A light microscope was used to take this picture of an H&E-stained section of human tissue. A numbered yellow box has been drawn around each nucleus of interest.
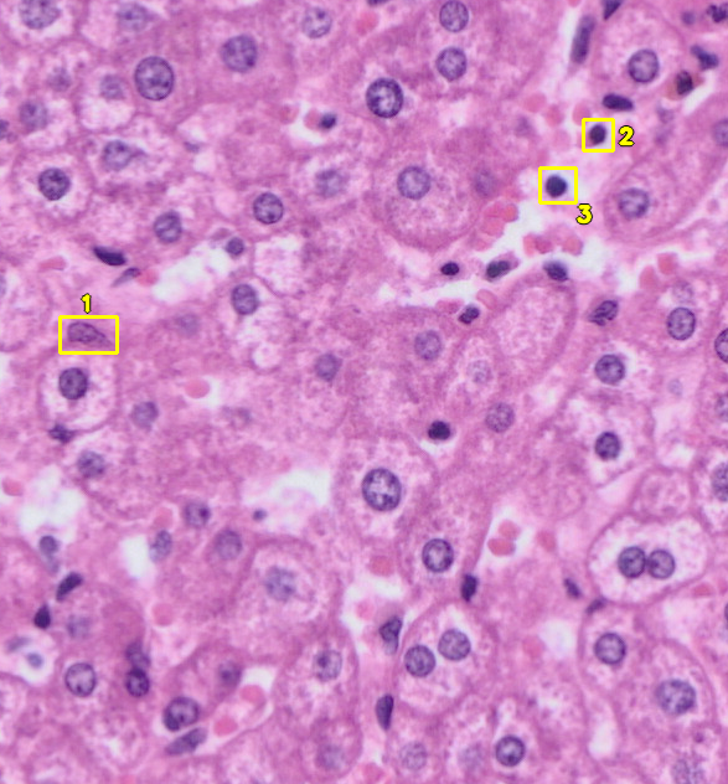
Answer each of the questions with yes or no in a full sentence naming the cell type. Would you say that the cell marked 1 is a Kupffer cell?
Yes, the cell sitting at number 1 is a Kupffer cell.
